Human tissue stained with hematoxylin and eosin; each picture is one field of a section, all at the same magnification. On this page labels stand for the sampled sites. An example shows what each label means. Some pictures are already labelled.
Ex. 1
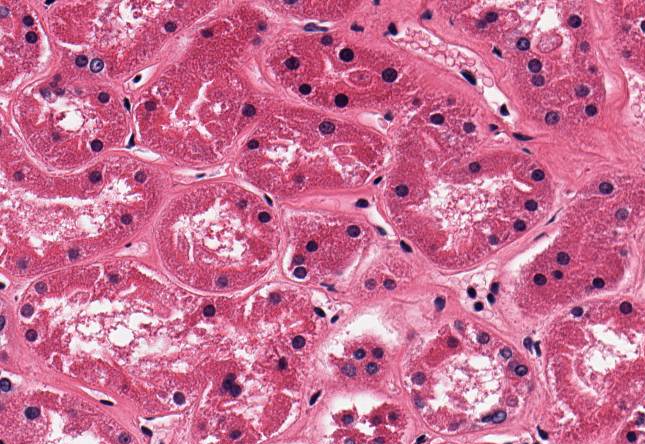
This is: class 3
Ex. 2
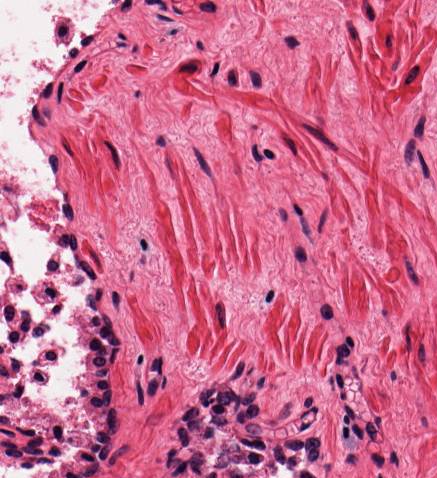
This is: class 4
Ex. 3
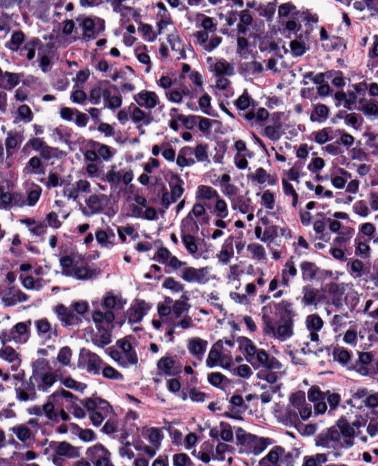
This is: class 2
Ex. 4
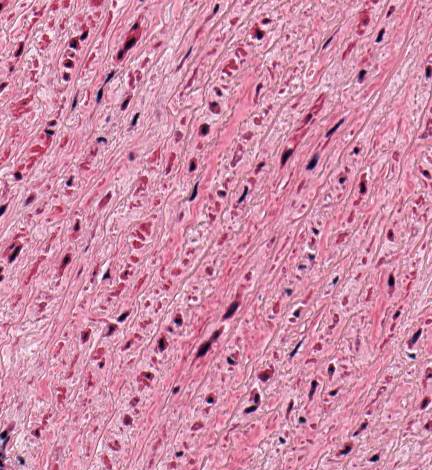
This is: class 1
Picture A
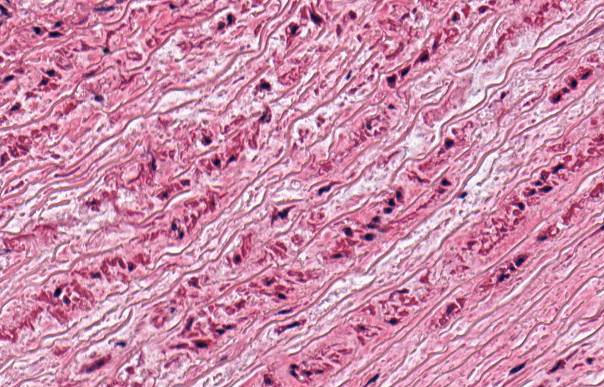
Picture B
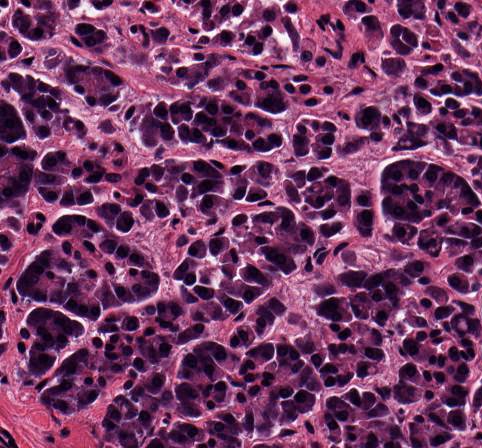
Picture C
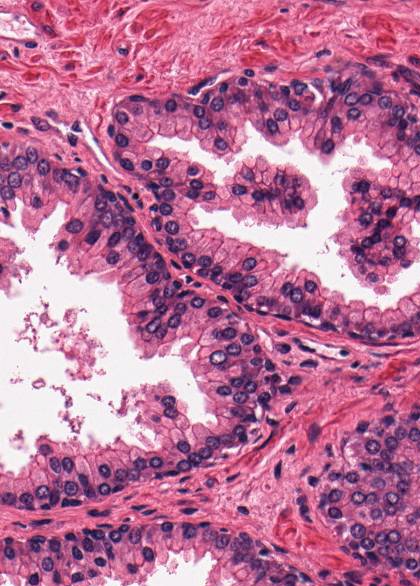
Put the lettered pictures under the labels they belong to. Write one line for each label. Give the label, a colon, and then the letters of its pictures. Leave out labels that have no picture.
class 4: C
class 2: B
class 1: A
